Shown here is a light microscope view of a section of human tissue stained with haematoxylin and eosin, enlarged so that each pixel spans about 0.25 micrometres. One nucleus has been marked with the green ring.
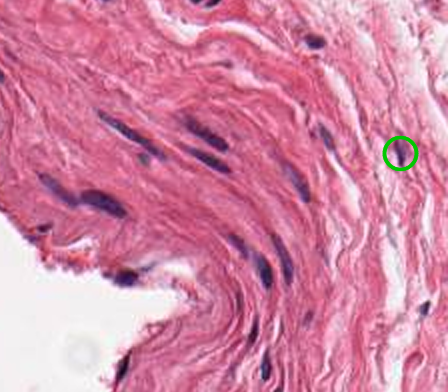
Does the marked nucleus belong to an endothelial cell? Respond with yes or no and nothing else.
no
